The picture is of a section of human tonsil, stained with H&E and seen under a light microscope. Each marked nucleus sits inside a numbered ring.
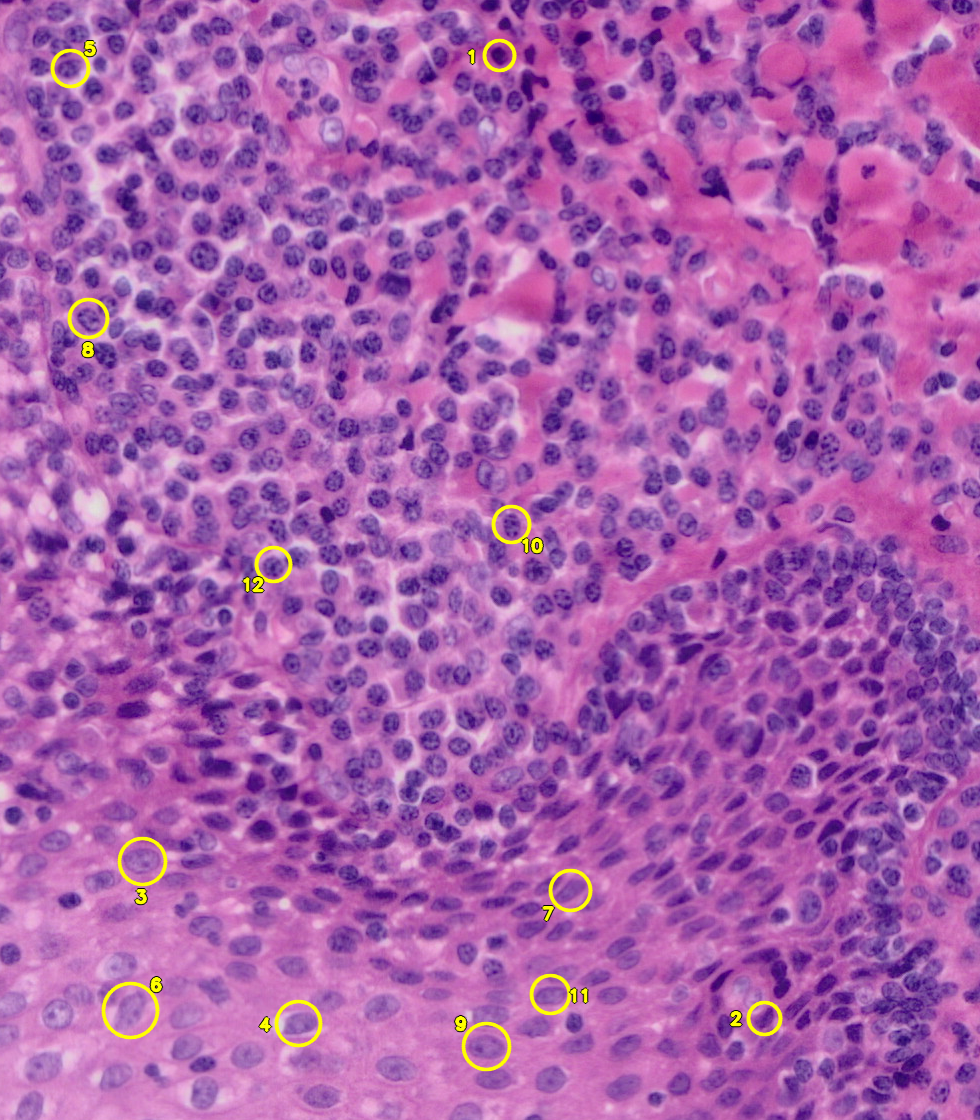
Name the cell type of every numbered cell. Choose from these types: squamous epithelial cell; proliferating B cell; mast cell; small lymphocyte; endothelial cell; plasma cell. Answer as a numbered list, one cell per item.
1. plasma cell
2. squamous epithelial cell
3. squamous epithelial cell
4. squamous epithelial cell
5. plasma cell
6. squamous epithelial cell
7. squamous epithelial cell
8. plasma cell
9. squamous epithelial cell
10. plasma cell
11. squamous epithelial cell
12. plasma cell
